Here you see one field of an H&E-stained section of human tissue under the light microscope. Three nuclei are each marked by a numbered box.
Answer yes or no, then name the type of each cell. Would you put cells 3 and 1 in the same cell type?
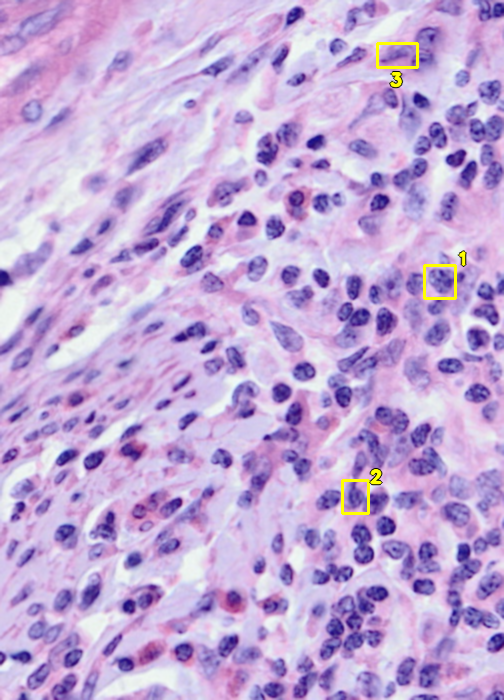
No, cell 3 is to be identified as an endothelial cell and cell 1 as a lymphocyte.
